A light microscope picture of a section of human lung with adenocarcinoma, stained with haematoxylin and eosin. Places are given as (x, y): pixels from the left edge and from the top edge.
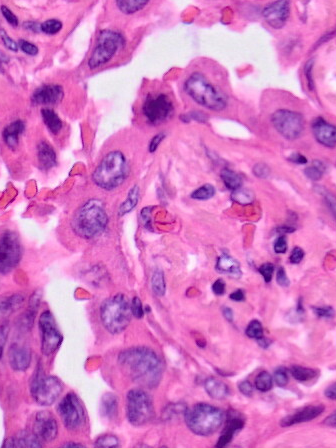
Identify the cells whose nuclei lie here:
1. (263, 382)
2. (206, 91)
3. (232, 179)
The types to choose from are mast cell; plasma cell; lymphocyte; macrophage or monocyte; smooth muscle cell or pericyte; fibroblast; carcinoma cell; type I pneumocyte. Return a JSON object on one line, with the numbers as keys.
{"1": "plasma cell", "2": "carcinoma cell", "3": "plasma cell"}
